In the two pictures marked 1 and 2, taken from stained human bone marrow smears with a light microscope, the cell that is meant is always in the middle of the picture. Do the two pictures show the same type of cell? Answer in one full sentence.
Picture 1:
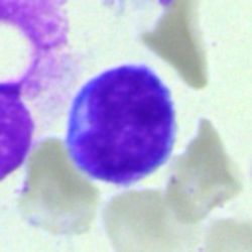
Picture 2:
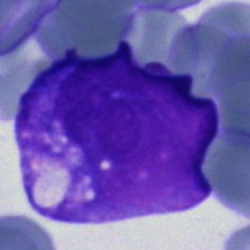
Yes; the cells in both pictures are blasts.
